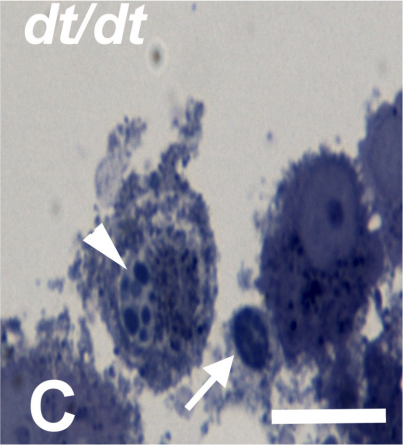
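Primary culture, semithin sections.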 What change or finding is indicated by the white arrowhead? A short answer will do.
chromatin condensation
